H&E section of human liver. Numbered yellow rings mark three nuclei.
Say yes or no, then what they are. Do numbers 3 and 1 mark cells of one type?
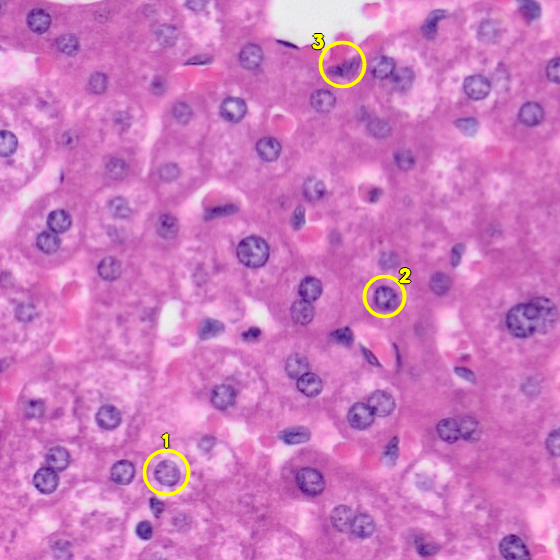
No, hold on, cell 3 is a fibroblast or stellate cell and cell 1 is a hepatocyte.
